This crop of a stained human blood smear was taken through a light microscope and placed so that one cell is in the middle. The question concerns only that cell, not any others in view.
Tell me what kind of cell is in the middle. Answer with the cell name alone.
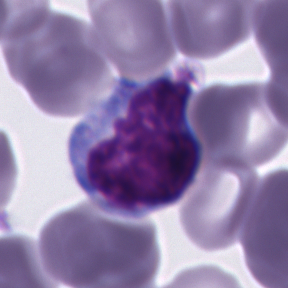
typical lymphocyte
